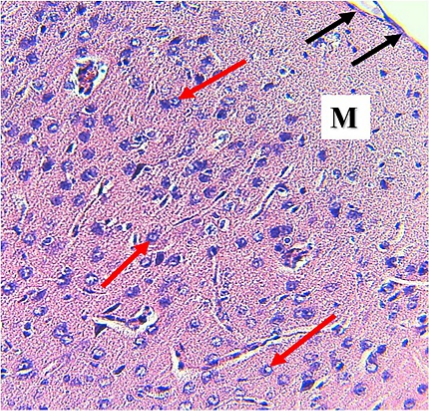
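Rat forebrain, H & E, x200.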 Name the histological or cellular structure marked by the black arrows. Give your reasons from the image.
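The black arrows point to a thin membrane lining the outer surface of the brain tissue. The membrane borders the empty space at the top right corner.
Conclusion: leptomeningeal layer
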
